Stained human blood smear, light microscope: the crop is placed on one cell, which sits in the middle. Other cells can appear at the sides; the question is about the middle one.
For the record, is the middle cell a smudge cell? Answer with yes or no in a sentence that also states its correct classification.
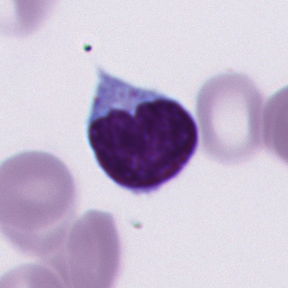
No, the cell occupying the centre is a typical lymphocyte, not a smudge cell.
